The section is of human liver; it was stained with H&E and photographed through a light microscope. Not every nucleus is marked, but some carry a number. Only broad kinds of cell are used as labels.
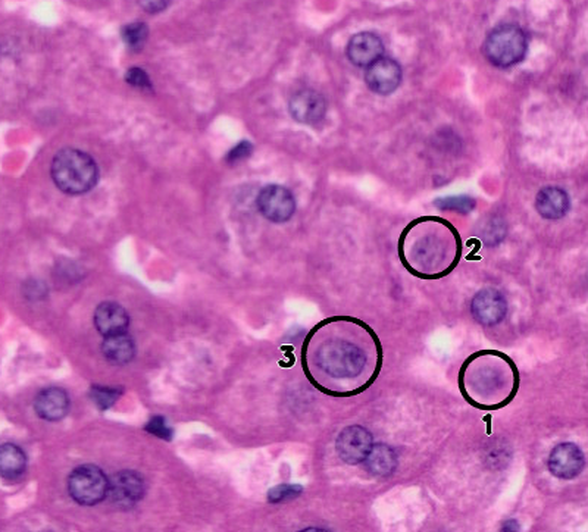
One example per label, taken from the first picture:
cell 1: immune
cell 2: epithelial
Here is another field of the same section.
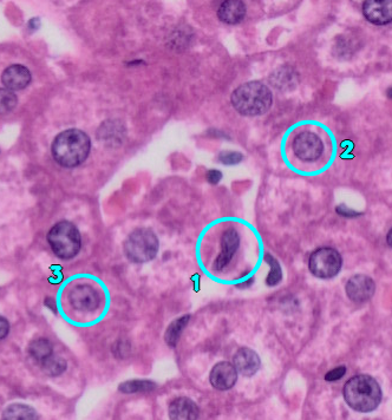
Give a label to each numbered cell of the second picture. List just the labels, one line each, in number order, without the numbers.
immune
epithelial
epithelial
